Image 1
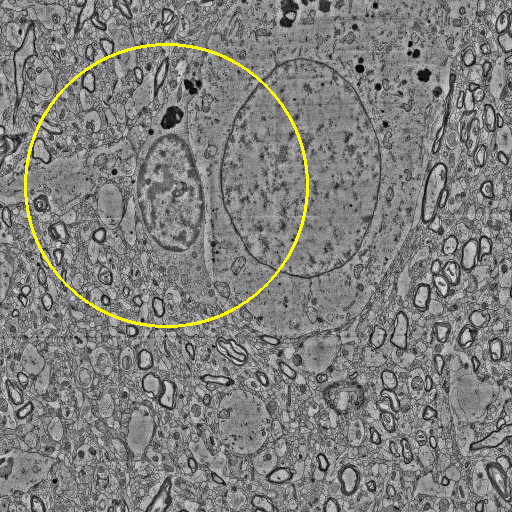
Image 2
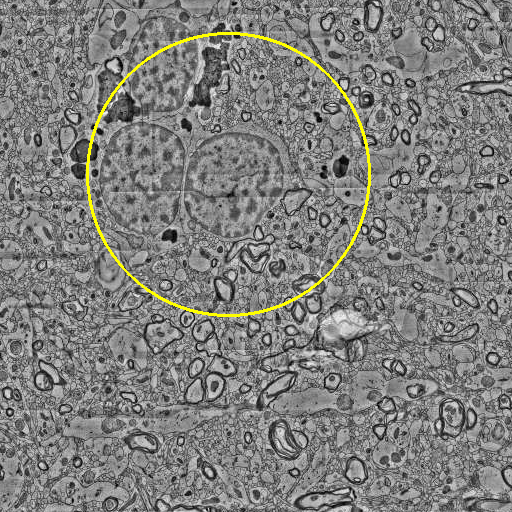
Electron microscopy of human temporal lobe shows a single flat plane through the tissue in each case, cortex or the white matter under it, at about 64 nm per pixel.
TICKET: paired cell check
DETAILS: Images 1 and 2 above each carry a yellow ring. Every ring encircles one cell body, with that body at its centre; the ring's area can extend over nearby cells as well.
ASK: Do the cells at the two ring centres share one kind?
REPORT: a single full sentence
Yes, the ring-centre cells of Images 1 and 2 belong to a single kind.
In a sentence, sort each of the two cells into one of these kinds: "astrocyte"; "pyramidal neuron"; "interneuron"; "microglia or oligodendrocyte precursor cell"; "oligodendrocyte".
The cell in the first picture is an oligodendrocyte, and so is the one in the second.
